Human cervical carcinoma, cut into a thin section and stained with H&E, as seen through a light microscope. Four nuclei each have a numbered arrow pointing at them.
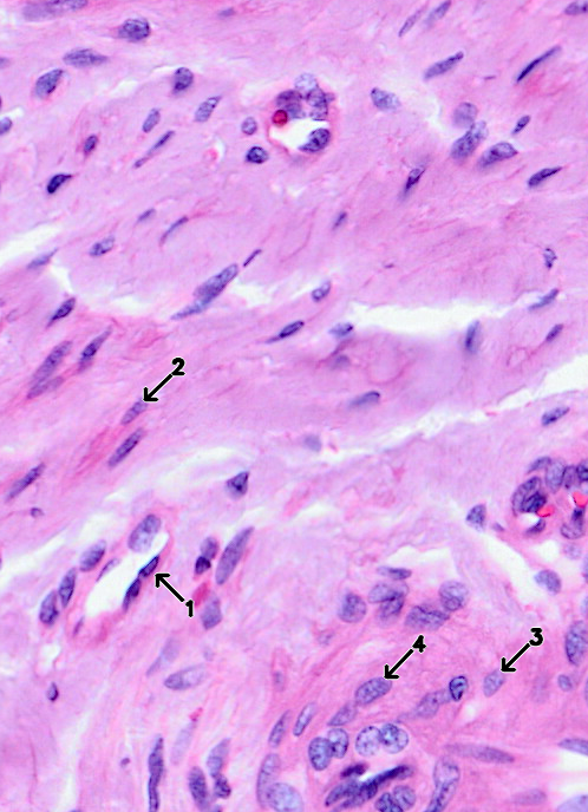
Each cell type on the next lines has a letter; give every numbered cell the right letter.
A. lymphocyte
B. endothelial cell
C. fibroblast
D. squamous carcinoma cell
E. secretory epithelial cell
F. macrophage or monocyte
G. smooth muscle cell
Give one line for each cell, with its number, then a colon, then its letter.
1: B
2: G
3: G
4: G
